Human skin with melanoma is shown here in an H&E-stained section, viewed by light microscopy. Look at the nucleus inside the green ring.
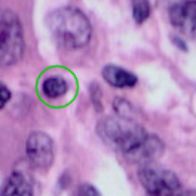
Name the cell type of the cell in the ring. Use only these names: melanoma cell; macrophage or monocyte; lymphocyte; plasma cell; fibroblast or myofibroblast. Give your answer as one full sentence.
By its classification, the cell in the ring is a lymphocyte.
